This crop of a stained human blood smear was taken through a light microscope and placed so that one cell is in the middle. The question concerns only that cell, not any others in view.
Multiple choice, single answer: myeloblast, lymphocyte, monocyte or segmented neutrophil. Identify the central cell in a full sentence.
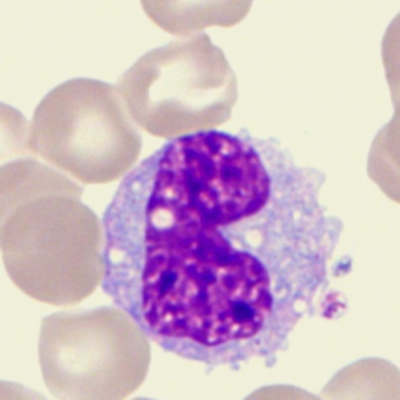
The central cell, amid any neighbouring cells, is a monocyte.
